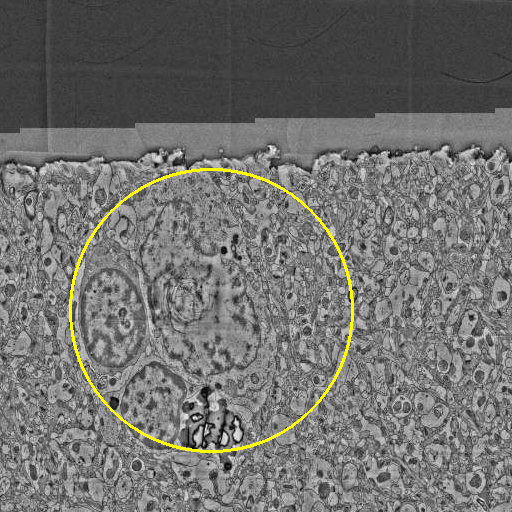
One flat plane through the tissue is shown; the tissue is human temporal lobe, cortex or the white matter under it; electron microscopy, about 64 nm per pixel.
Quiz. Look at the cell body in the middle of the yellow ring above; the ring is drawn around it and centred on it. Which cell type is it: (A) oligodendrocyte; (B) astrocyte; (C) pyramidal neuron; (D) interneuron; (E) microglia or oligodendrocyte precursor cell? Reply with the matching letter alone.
D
